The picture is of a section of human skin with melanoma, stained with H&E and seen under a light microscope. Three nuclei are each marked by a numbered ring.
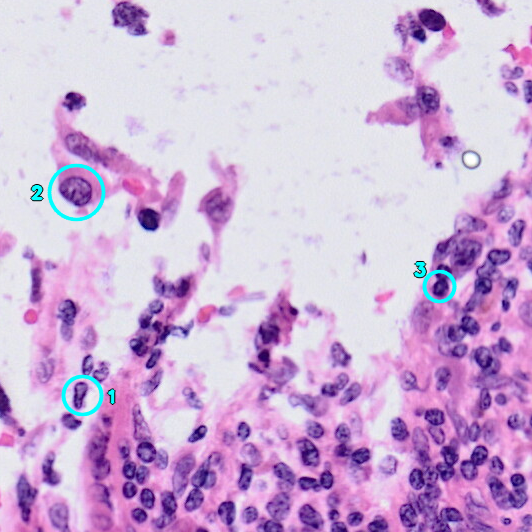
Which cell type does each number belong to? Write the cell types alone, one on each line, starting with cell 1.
lymphocyte
melanoma cell
lymphocyte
